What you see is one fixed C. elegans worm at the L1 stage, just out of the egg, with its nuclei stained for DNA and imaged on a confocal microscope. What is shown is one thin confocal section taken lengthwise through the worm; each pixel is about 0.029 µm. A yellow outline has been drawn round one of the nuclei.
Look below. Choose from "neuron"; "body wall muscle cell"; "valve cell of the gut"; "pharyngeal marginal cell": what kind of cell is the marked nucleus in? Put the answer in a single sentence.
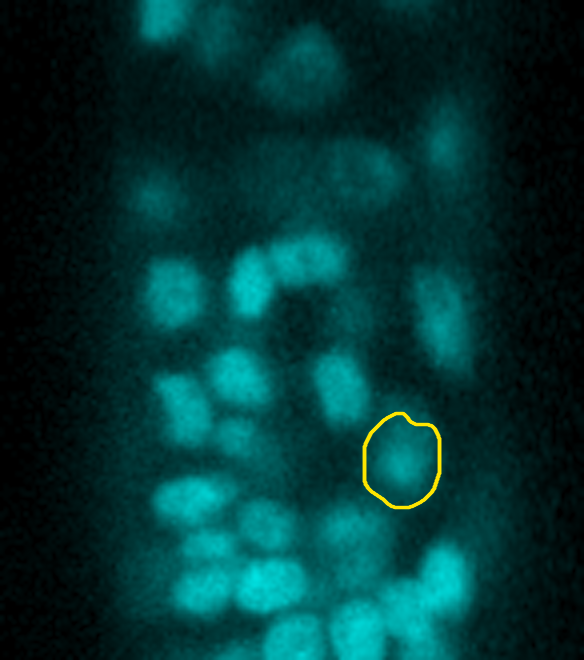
It belongs to a neuron.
